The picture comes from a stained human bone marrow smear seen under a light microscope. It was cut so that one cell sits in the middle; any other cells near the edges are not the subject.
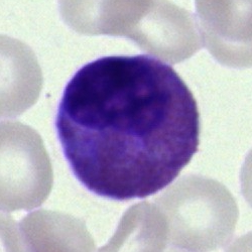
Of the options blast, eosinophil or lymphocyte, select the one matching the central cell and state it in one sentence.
Framed in the middle of the crop is an eosinophil.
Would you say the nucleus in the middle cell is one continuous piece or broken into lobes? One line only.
In this cell the nucleus is a solitary compact mass, round, oval or kidney-shaped.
